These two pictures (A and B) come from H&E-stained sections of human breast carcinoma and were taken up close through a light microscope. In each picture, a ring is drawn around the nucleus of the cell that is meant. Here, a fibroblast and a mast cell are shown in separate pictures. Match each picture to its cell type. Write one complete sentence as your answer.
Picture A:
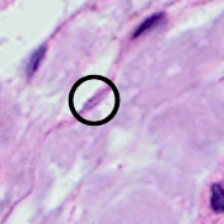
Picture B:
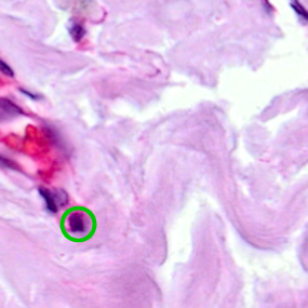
Picture A shows a fibroblast and picture B shows a mast cell.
